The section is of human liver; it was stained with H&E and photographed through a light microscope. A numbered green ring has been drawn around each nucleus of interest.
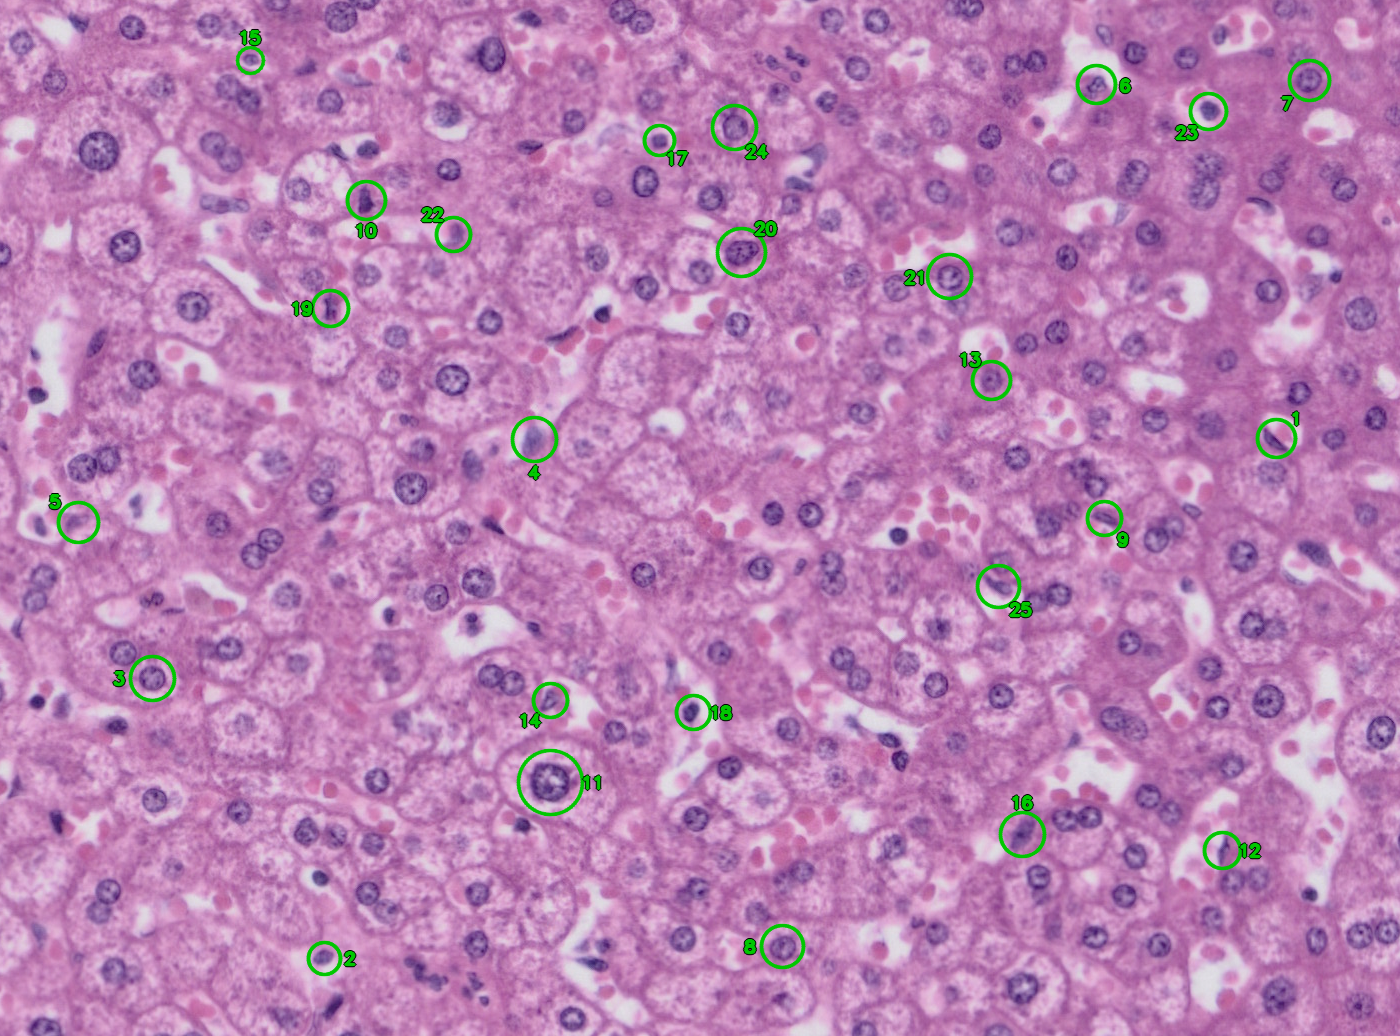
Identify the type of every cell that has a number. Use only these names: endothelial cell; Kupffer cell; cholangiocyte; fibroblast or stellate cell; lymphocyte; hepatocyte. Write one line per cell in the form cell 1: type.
cell 1: endothelial cell
cell 2: lymphocyte
cell 3: hepatocyte
cell 4: endothelial cell
cell 5: Kupffer cell
cell 6: Kupffer cell
cell 7: hepatocyte
cell 8: hepatocyte
cell 9: endothelial cell
cell 10: fibroblast or stellate cell
cell 11: hepatocyte
cell 12: endothelial cell
cell 13: hepatocyte
cell 14: Kupffer cell
cell 15: lymphocyte
cell 16: fibroblast or stellate cell
cell 17: lymphocyte
cell 18: lymphocyte
cell 19: endothelial cell
cell 20: hepatocyte
cell 21: hepatocyte
cell 22: endothelial cell
cell 23: lymphocyte
cell 24: hepatocyte
cell 25: Kupffer cell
